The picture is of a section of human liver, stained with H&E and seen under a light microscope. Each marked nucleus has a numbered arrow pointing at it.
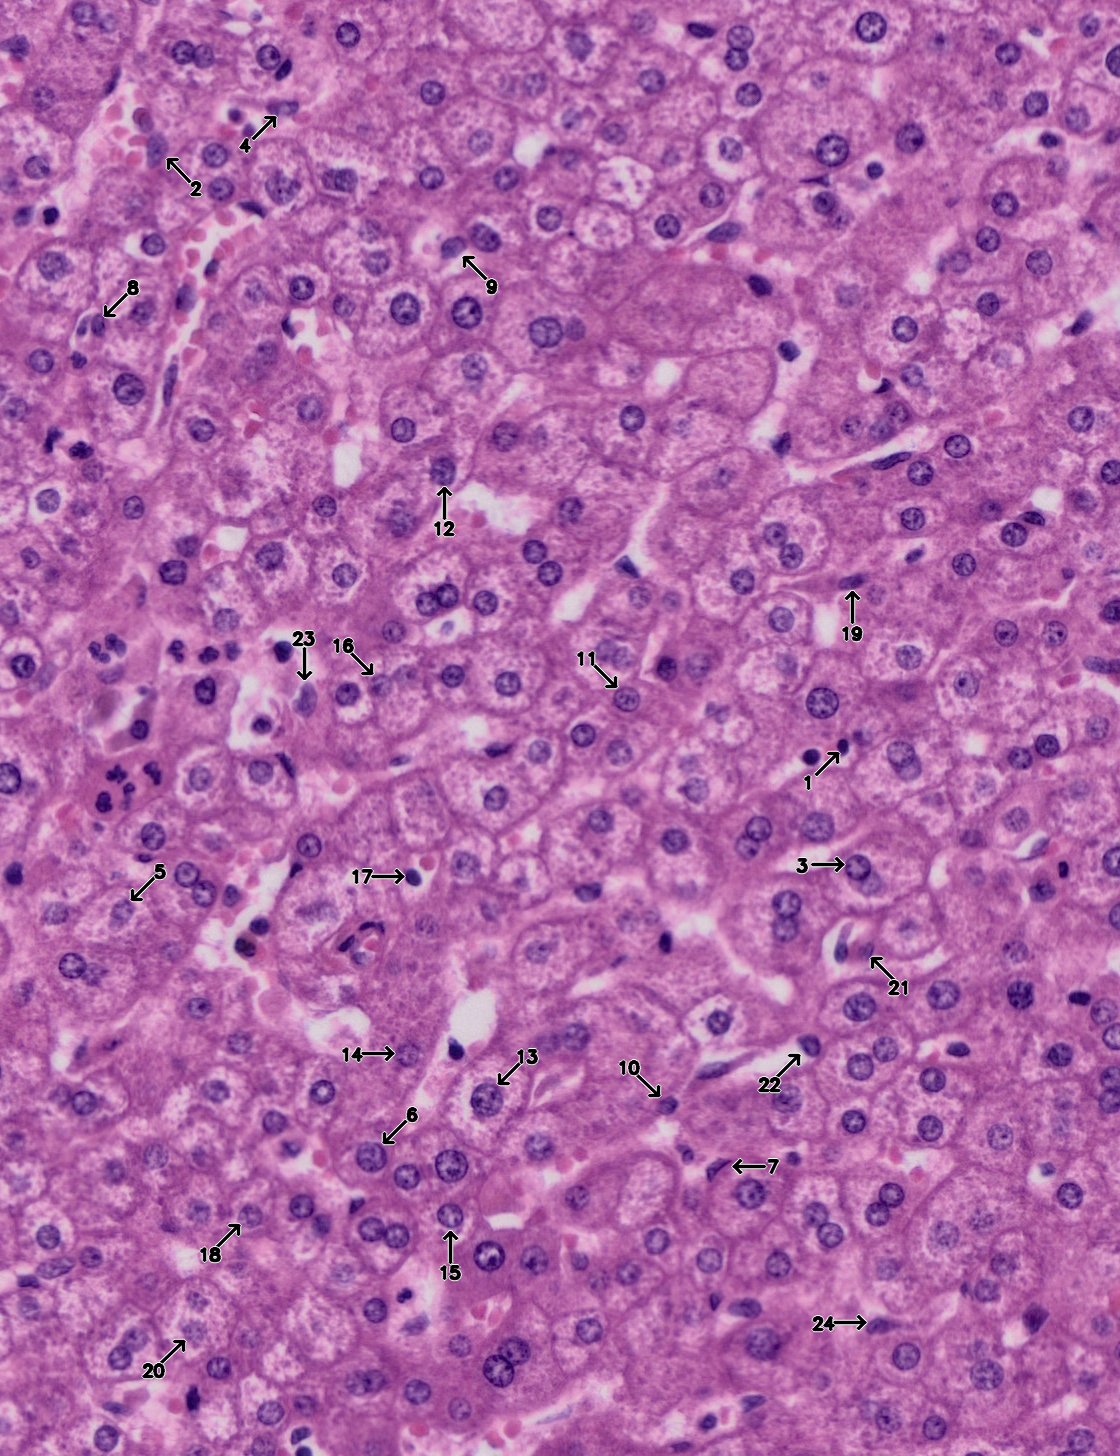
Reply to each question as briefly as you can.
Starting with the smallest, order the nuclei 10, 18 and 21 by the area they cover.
21, 10, 18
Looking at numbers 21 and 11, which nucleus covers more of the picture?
11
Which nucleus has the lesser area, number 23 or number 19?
19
